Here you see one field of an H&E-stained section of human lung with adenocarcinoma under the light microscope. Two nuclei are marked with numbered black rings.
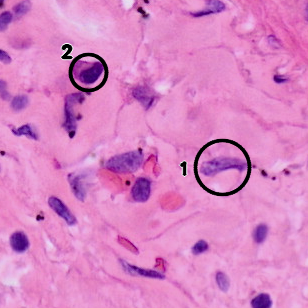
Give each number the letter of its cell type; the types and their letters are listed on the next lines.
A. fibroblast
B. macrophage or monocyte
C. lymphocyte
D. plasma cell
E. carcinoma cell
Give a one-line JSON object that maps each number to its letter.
{"1": "A", "2": "D"}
